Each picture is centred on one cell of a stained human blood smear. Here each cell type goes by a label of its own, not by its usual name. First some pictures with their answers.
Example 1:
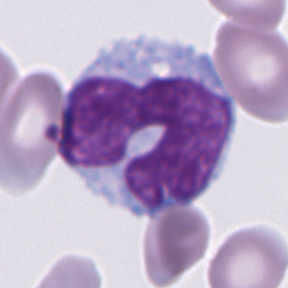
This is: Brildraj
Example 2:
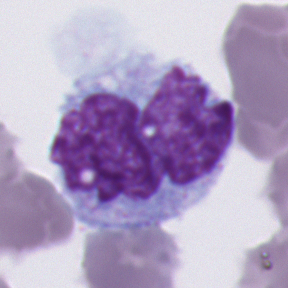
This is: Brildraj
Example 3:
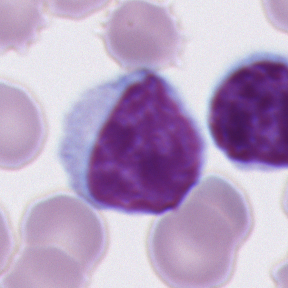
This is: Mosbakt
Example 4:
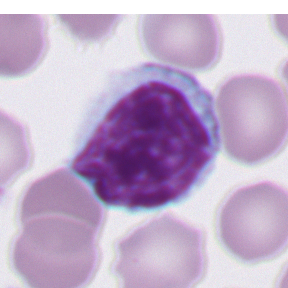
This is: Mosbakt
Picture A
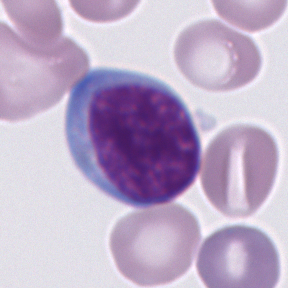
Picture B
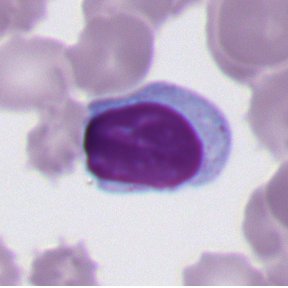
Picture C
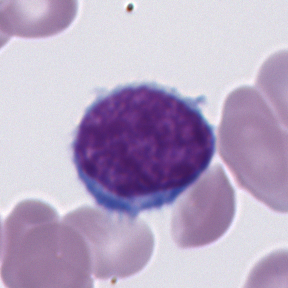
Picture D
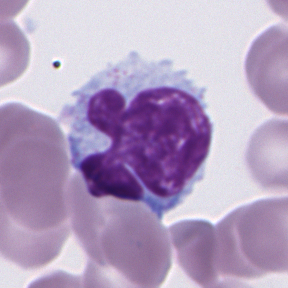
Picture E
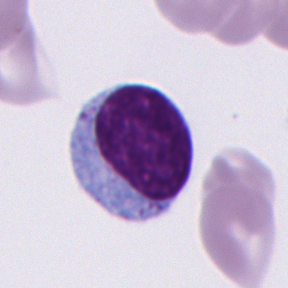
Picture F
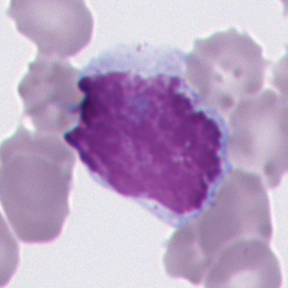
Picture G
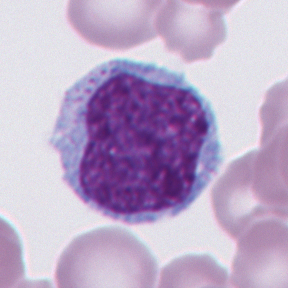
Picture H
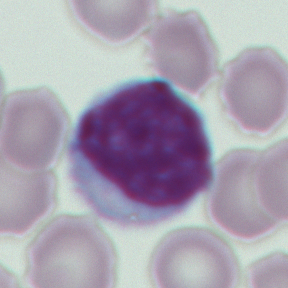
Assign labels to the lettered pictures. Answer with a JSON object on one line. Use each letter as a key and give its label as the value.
{"A": "Mosbakt", "B": "Mosbakt", "C": "Mosbakt", "D": "Brildraj", "E": "Mosbakt", "F": "Mosbakt", "G": "Brildraj", "H": "Mosbakt"}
